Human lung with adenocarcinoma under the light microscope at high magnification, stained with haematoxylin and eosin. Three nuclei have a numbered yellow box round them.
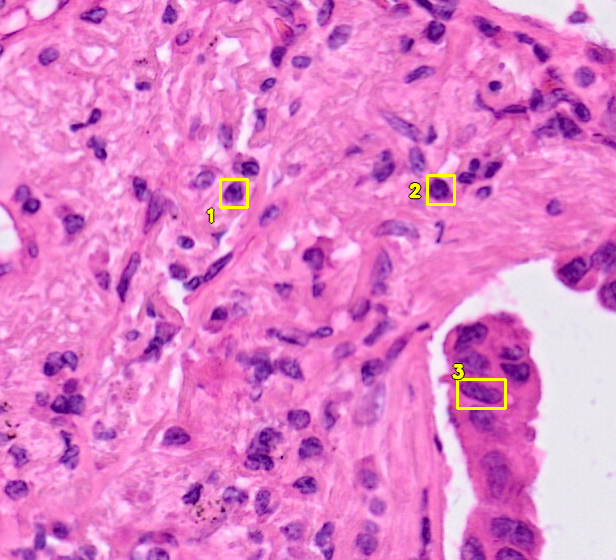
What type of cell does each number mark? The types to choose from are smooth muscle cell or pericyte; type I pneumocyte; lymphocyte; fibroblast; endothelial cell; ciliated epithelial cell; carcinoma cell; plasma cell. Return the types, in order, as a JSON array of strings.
["lymphocyte", "plasma cell", "carcinoma cell"]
